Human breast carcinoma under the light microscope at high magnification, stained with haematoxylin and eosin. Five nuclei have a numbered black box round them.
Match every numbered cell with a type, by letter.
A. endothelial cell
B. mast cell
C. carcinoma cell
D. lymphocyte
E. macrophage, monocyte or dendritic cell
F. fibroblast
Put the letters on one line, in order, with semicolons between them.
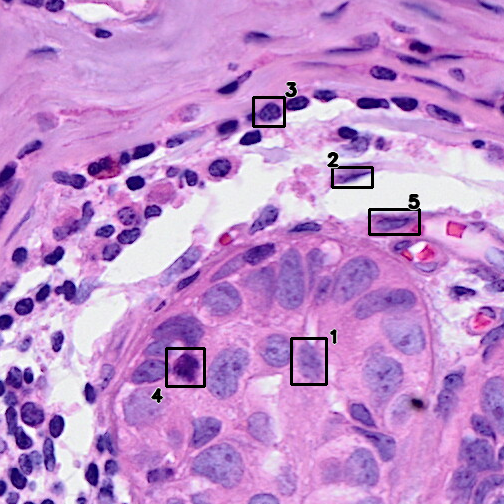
C; F; D; C; A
